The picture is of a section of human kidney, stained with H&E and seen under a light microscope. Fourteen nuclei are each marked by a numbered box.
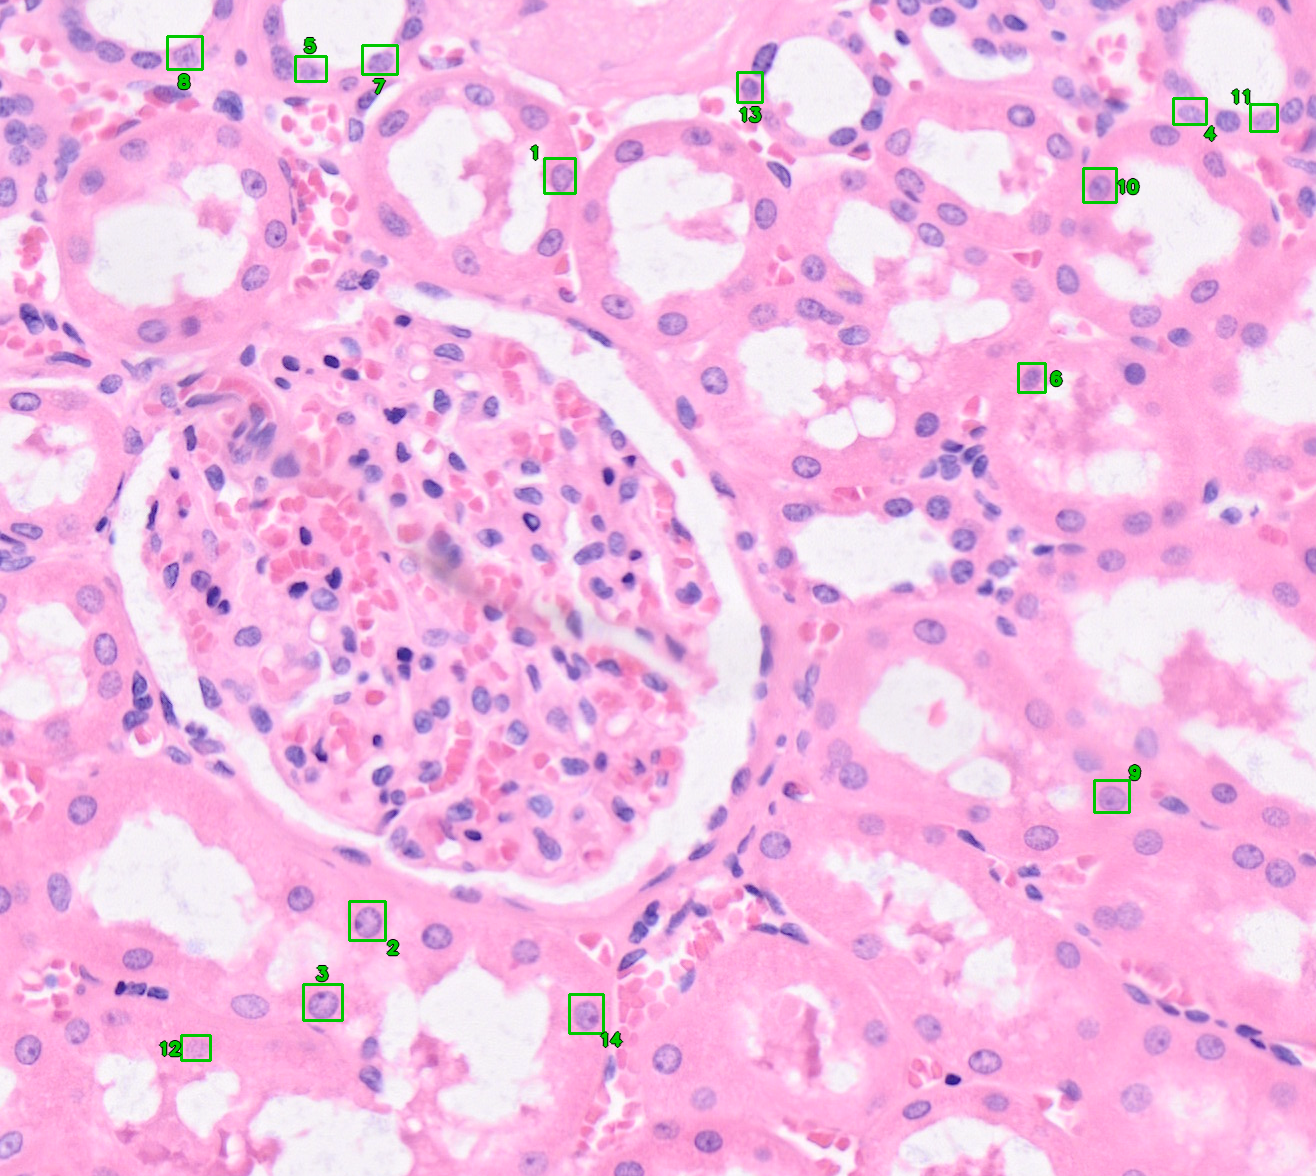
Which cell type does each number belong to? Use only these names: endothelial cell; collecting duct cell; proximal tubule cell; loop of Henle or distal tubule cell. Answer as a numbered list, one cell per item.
1. proximal tubule cell
2. proximal tubule cell
3. proximal tubule cell
4. collecting duct cell
5. collecting duct cell
6. proximal tubule cell
7. collecting duct cell
8. collecting duct cell
9. proximal tubule cell
10. proximal tubule cell
11. collecting duct cell
12. proximal tubule cell
13. collecting duct cell
14. proximal tubule cell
